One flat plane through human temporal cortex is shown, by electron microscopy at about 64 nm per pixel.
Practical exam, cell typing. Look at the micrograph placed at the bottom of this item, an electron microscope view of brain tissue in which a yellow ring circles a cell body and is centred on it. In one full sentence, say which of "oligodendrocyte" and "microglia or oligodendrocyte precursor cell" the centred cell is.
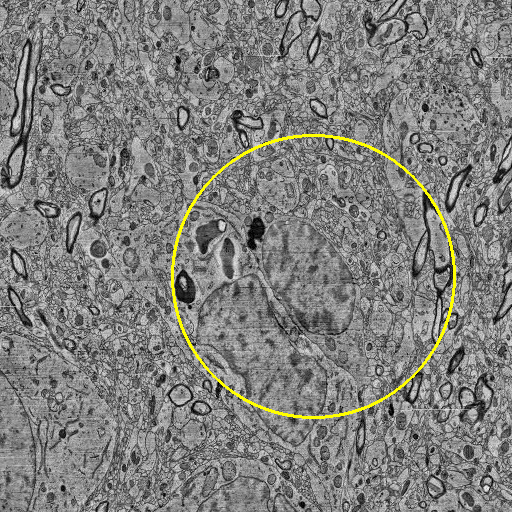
Given the options, an oligodendrocyte fits the cell whose body the yellow ring is centred on.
